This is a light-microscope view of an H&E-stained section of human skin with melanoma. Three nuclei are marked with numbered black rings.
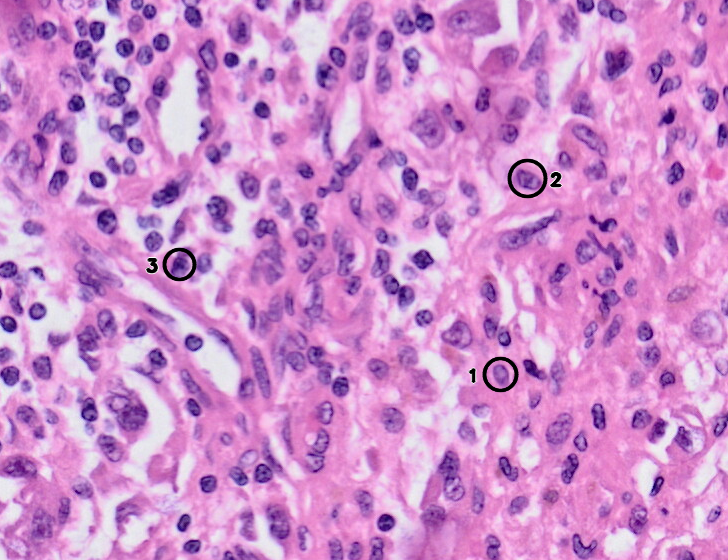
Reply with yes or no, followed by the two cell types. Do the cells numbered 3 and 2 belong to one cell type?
No, cell 3 is a lymphocyte and cell 2 is a macrophage or monocyte.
